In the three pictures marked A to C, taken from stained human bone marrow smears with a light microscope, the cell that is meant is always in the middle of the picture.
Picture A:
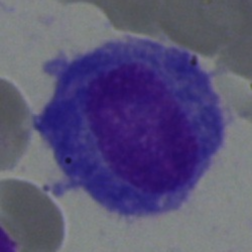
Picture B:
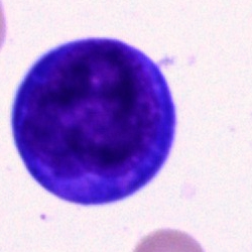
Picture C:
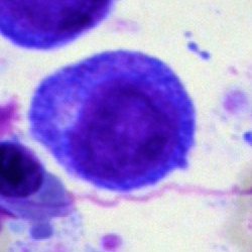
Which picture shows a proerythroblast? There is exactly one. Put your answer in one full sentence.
Picture B is the one that shows the proerythroblast.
